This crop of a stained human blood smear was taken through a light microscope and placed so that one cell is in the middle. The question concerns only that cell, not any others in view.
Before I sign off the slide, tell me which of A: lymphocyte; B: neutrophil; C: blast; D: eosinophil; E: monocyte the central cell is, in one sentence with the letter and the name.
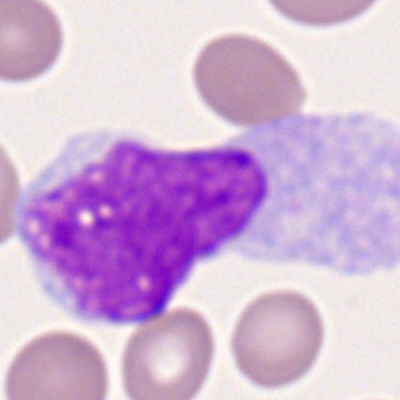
Option E correctly states that the central cell is a monocyte.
